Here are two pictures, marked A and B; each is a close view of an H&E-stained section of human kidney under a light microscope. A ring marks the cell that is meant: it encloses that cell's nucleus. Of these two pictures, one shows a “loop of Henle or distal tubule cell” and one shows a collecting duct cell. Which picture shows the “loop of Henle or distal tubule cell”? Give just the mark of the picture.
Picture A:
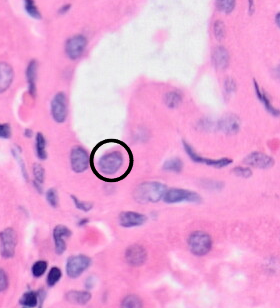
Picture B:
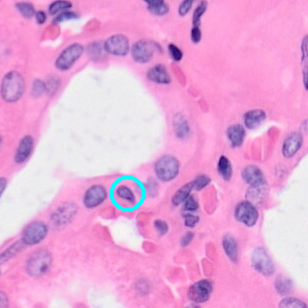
A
